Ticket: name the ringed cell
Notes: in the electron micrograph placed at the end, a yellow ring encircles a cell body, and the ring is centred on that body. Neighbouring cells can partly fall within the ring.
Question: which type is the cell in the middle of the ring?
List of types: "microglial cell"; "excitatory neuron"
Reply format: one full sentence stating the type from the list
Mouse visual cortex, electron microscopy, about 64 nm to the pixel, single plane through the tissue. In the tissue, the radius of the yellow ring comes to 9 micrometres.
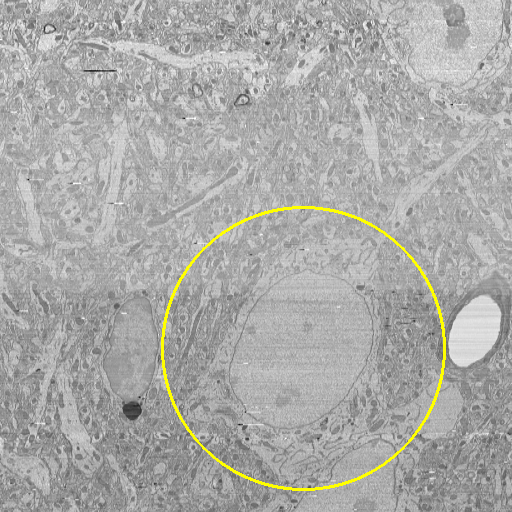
The cell sitting at the centre of the yellow ring is an excitatory neuron.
